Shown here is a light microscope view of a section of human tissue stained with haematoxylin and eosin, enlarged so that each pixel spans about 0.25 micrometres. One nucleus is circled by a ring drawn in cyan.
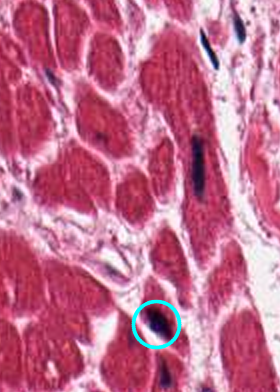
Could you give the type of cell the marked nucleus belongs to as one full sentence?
The nucleus with the mark belongs to a cardiomyocyte.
